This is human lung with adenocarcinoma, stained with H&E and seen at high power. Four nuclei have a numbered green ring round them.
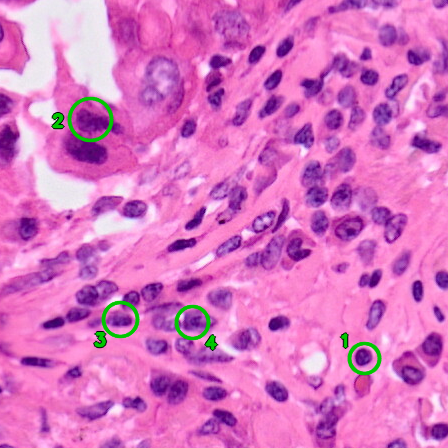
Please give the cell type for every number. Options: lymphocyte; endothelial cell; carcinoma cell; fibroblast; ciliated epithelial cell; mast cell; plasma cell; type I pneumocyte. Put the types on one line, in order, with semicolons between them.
lymphocyte; carcinoma cell; lymphocyte; lymphocyte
